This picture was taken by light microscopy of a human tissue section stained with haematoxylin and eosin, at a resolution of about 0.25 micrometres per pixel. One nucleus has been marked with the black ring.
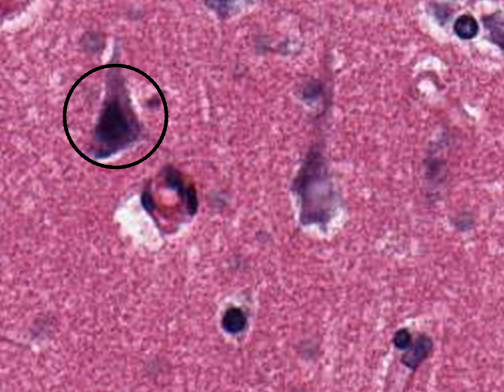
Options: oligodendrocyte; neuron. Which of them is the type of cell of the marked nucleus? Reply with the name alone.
neuron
